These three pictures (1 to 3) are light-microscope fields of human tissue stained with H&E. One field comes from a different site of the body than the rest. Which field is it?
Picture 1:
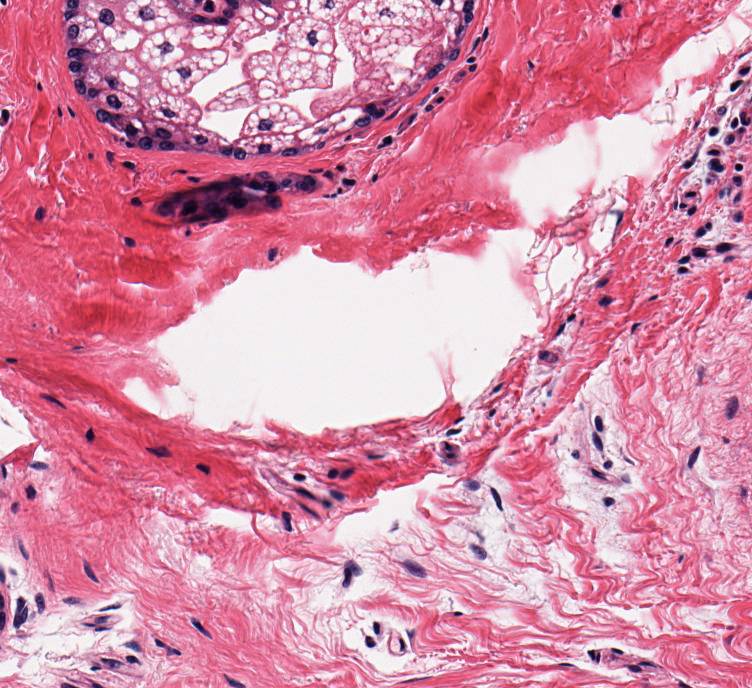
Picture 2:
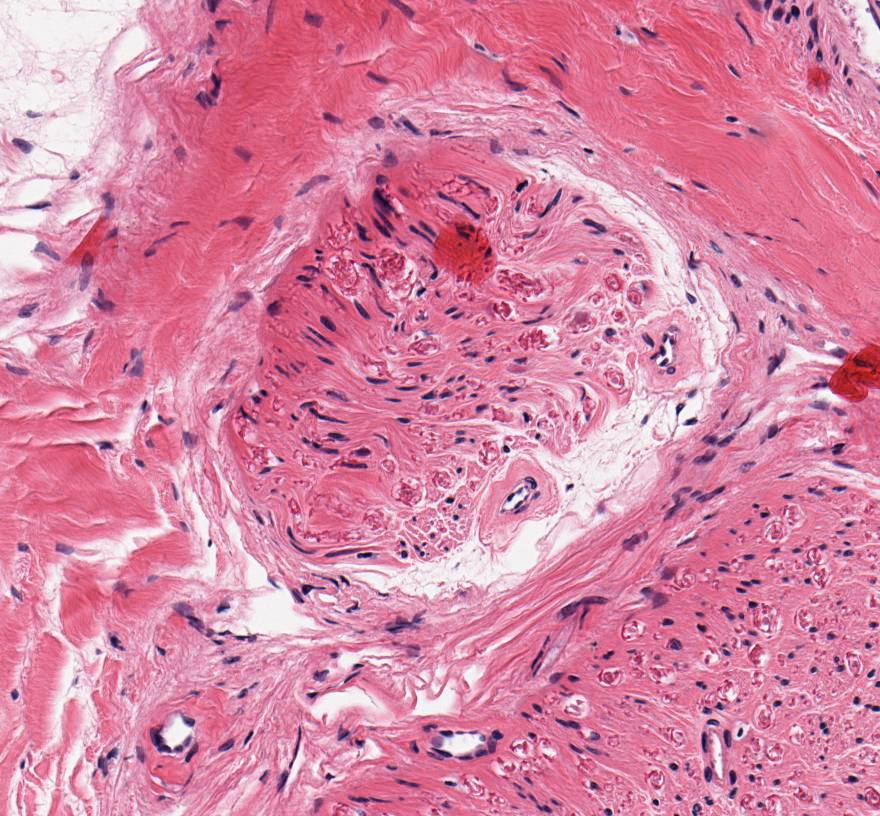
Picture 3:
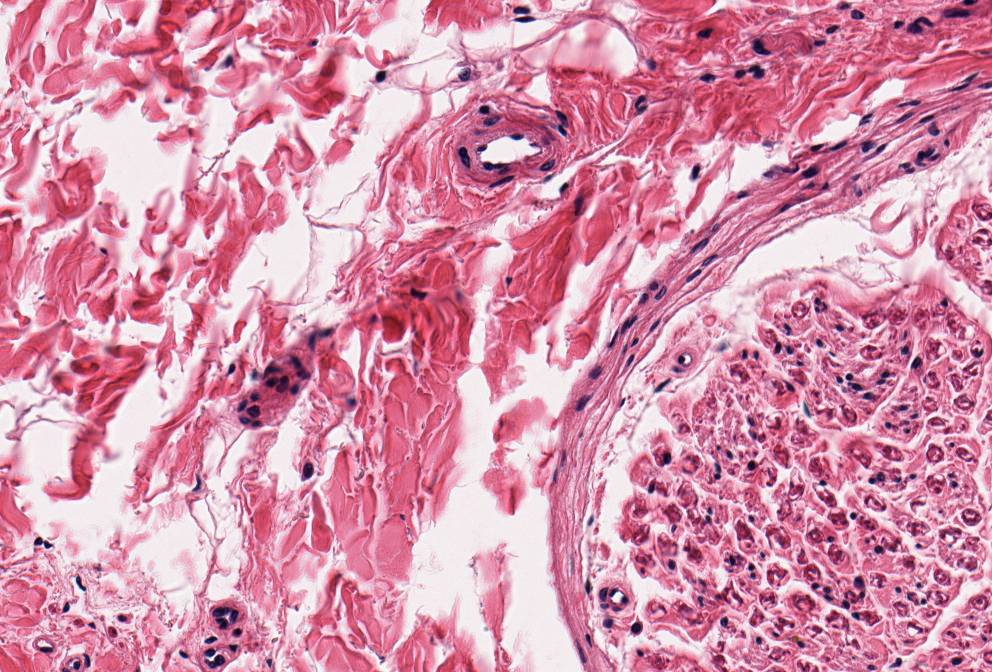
1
